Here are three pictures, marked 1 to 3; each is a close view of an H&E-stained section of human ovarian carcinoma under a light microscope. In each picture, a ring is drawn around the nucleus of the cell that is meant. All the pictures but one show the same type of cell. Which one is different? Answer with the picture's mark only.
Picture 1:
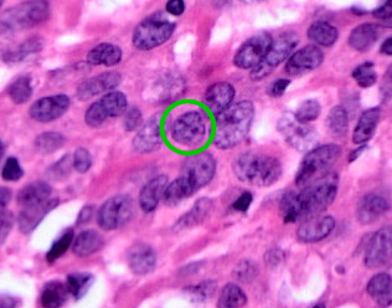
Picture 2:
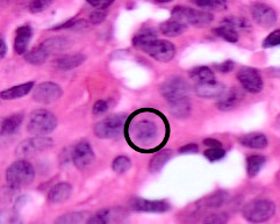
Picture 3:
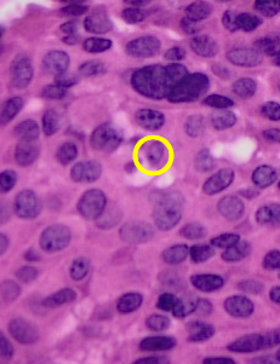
3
